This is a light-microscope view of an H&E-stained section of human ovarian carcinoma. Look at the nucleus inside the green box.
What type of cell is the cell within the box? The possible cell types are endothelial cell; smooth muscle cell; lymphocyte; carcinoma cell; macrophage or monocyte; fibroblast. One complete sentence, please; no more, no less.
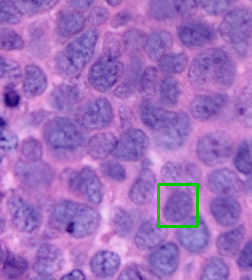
On this particular slide, the cell within the box is a carcinoma cell.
